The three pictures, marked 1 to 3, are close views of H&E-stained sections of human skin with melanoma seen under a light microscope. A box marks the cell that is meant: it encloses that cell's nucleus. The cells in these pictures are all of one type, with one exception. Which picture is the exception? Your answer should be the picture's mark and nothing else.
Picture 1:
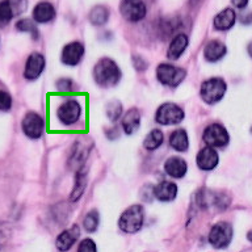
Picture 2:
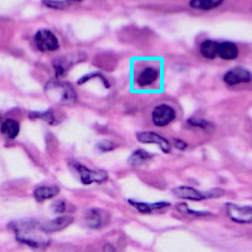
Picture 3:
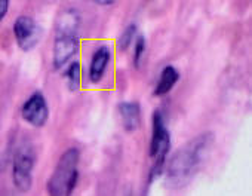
2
